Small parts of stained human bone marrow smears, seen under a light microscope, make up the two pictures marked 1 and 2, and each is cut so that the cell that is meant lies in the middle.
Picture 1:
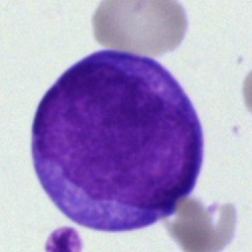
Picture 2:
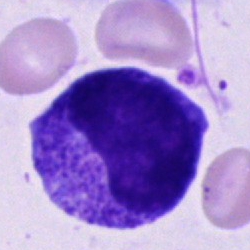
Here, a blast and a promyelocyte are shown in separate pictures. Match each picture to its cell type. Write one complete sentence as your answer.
Picture 1 is of a blast, and picture 2 is of a promyelocyte.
